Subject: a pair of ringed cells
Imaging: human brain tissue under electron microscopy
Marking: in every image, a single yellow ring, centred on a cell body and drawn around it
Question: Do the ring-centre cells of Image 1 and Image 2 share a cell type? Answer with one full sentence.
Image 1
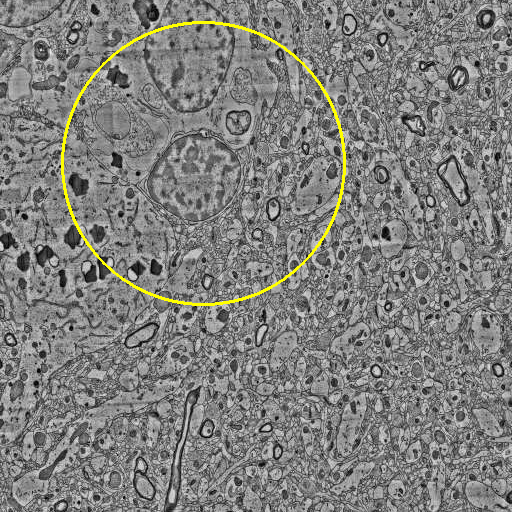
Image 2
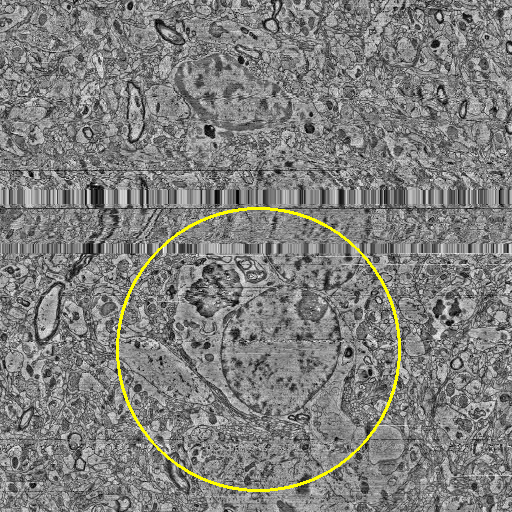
No, at the ring centres in the images sit cells of two separate types.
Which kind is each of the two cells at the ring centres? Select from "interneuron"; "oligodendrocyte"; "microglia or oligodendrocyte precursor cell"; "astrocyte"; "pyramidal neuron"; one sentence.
The cell at the centre of the ring is a microglial cell or oligodendrocyte precursor cell in the first picture and an astrocyte in the second.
